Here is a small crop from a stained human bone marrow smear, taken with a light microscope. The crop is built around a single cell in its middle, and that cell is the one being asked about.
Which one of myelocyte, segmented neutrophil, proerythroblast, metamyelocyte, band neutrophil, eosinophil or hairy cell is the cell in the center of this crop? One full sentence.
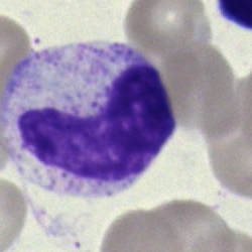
The cell at the centre of the field is a metamyelocyte.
